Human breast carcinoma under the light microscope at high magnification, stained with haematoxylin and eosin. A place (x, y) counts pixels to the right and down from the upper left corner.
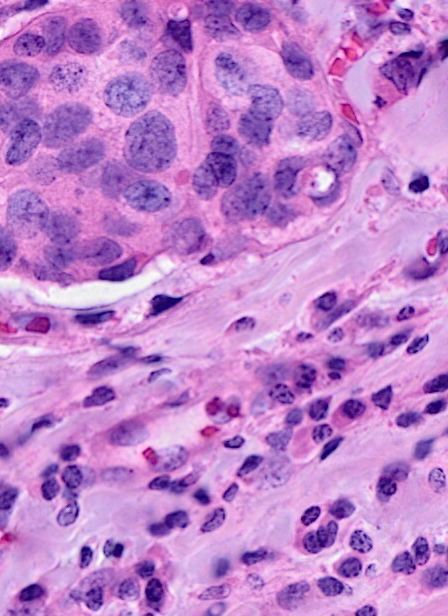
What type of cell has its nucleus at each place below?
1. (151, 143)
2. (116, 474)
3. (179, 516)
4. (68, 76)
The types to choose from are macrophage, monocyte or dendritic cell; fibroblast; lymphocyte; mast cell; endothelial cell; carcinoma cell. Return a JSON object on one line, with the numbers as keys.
{"1": "carcinoma cell", "2": "endothelial cell", "3": "lymphocyte", "4": "carcinoma cell"}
